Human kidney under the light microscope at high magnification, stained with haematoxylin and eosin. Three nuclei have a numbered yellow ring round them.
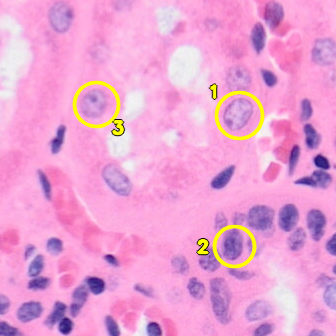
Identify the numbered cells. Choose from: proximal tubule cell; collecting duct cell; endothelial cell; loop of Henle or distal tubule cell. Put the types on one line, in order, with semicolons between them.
proximal tubule cell; collecting duct cell; proximal tubule cell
